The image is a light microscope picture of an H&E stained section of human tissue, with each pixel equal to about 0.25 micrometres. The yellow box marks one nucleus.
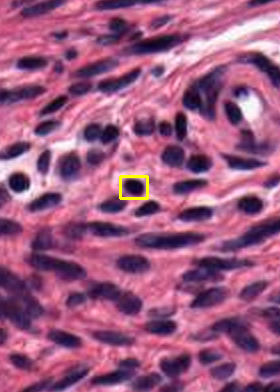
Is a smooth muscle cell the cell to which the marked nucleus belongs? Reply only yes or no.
no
